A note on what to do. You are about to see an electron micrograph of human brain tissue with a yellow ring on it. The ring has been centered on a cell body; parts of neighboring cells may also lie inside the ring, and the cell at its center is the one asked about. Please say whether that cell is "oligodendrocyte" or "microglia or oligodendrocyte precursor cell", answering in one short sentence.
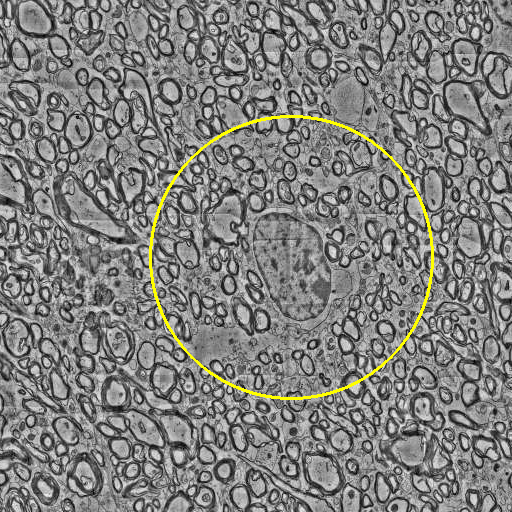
The yellow ring sits on a microglial cell or oligodendrocyte precursor cell.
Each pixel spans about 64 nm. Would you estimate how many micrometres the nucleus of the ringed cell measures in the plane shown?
The nucleus of the ringed cell is clearly longer than it is wide in this plane, about 7 by 5 micrometres.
